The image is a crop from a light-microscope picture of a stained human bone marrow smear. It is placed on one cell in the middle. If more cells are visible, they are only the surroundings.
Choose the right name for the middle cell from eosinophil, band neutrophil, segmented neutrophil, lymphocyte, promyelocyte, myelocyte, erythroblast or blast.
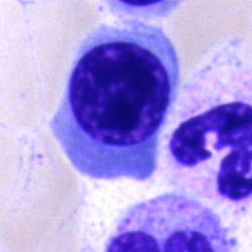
erythroblast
